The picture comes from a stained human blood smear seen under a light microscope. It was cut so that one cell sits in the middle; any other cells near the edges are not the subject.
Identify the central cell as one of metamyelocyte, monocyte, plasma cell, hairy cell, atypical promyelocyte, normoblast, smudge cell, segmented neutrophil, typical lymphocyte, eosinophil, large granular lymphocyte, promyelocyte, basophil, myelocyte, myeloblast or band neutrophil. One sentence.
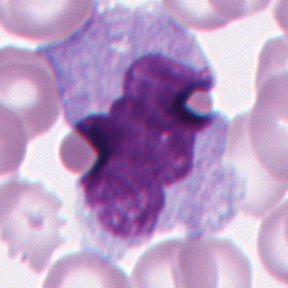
This crop has a monocyte at its centre.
